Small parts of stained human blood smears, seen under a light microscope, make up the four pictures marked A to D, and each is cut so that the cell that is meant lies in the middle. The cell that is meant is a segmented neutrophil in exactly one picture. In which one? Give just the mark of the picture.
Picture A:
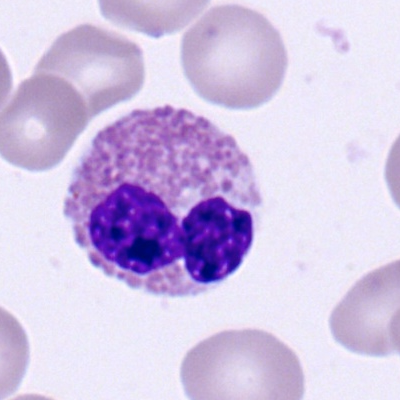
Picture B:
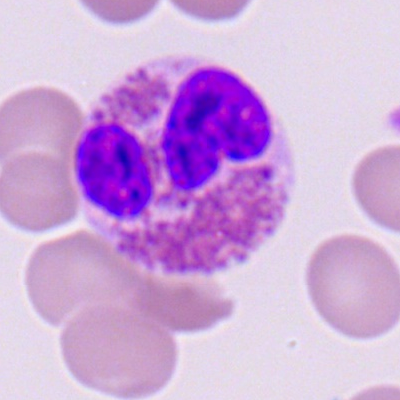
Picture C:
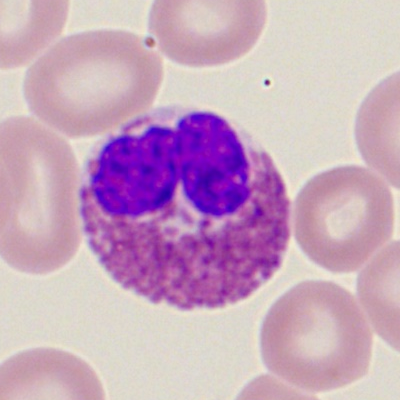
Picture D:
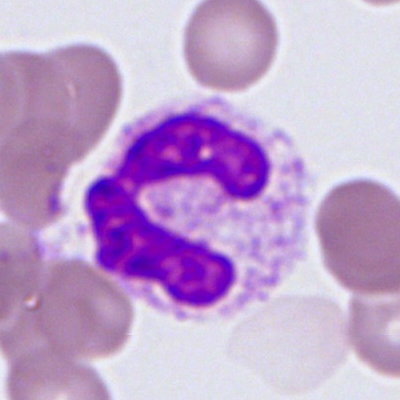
D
